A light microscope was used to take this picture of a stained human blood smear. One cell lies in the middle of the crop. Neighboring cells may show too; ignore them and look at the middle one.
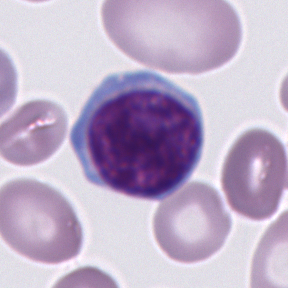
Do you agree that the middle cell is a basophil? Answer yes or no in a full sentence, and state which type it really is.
No, the cell found centrally in the crop is a typical lymphocyte, not a basophil.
